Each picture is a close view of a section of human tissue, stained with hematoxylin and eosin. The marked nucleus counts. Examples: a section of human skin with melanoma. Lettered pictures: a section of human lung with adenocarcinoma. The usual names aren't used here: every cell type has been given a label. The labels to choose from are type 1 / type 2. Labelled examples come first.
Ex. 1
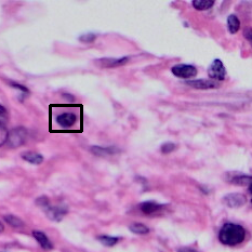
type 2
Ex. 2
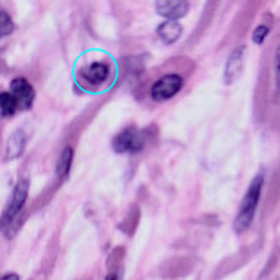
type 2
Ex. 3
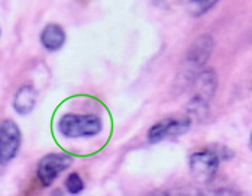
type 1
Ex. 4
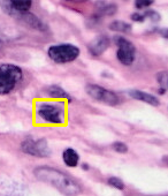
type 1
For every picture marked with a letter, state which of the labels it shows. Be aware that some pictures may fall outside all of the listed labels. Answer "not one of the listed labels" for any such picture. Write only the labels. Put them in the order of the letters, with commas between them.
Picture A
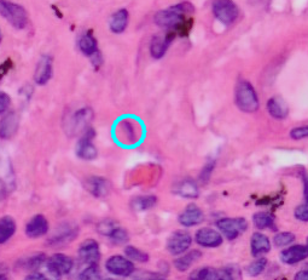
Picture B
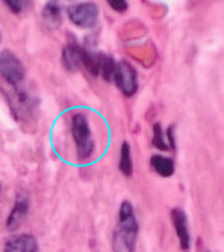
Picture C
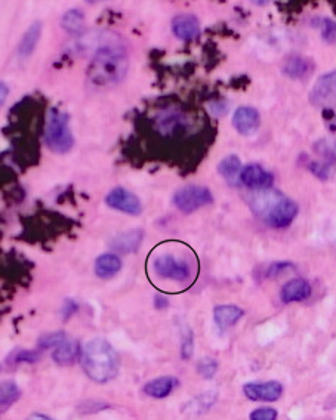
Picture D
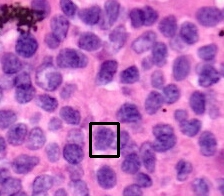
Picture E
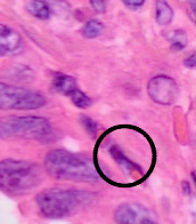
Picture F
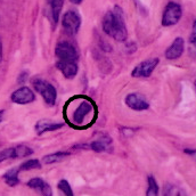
not one of the listed labels, type 2, type 2, type 1, not one of the listed labels, type 2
